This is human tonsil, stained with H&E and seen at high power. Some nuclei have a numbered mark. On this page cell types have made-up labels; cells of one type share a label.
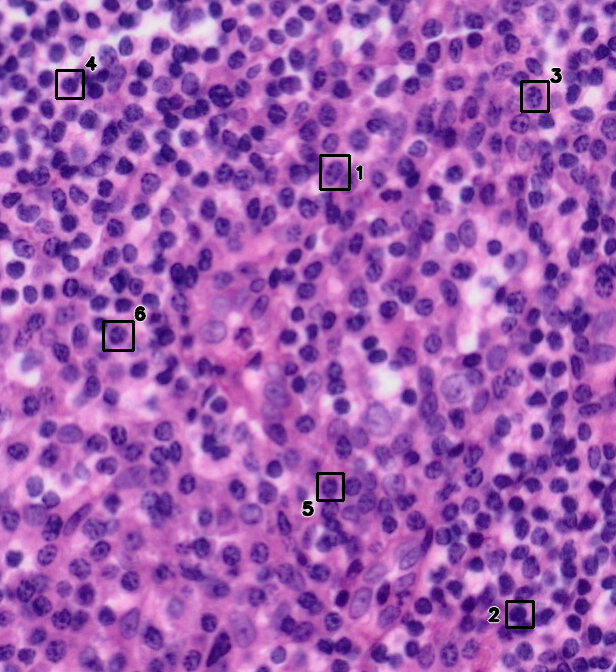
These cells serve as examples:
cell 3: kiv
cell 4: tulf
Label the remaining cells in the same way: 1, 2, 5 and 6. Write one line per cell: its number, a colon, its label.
1: kiv
2: tulf
5: kiv
6: kiv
